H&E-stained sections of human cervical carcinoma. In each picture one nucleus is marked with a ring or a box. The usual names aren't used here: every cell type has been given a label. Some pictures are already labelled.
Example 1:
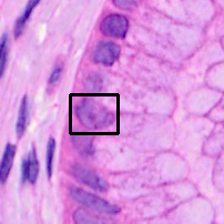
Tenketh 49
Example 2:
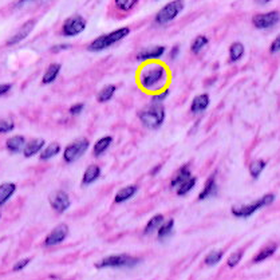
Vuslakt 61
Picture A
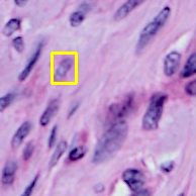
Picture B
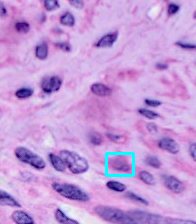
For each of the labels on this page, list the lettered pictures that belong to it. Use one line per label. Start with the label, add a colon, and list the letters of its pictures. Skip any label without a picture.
Vuslakt 61: A, B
